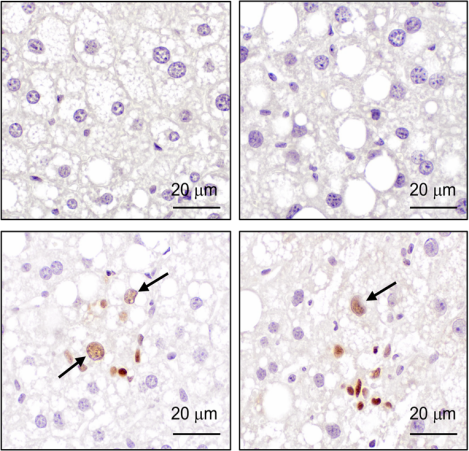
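This is liver tissue in which hepatocytes are large polygonal cells with round, centrally placed blue nuclei and pale, finely vacuolated cytoplasm. Many round, clear vacuoles of different sizes are scattered through the tissue, some large enough to push against neighbouring cells. In the upper row no nuclei carry brown stain. In the lower row several nuclei are stained brown, including large round hepatocyte nuclei marked by arrows. Smaller, darker and more elongated nuclei lying between the hepatocytes are also brown in places.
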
